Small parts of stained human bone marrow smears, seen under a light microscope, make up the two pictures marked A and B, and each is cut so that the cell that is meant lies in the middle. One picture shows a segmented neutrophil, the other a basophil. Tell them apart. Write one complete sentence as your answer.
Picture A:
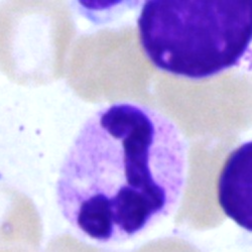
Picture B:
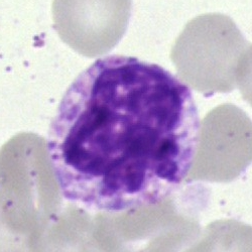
It is picture A that shows a segmented neutrophil, and picture B that shows a basophil.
